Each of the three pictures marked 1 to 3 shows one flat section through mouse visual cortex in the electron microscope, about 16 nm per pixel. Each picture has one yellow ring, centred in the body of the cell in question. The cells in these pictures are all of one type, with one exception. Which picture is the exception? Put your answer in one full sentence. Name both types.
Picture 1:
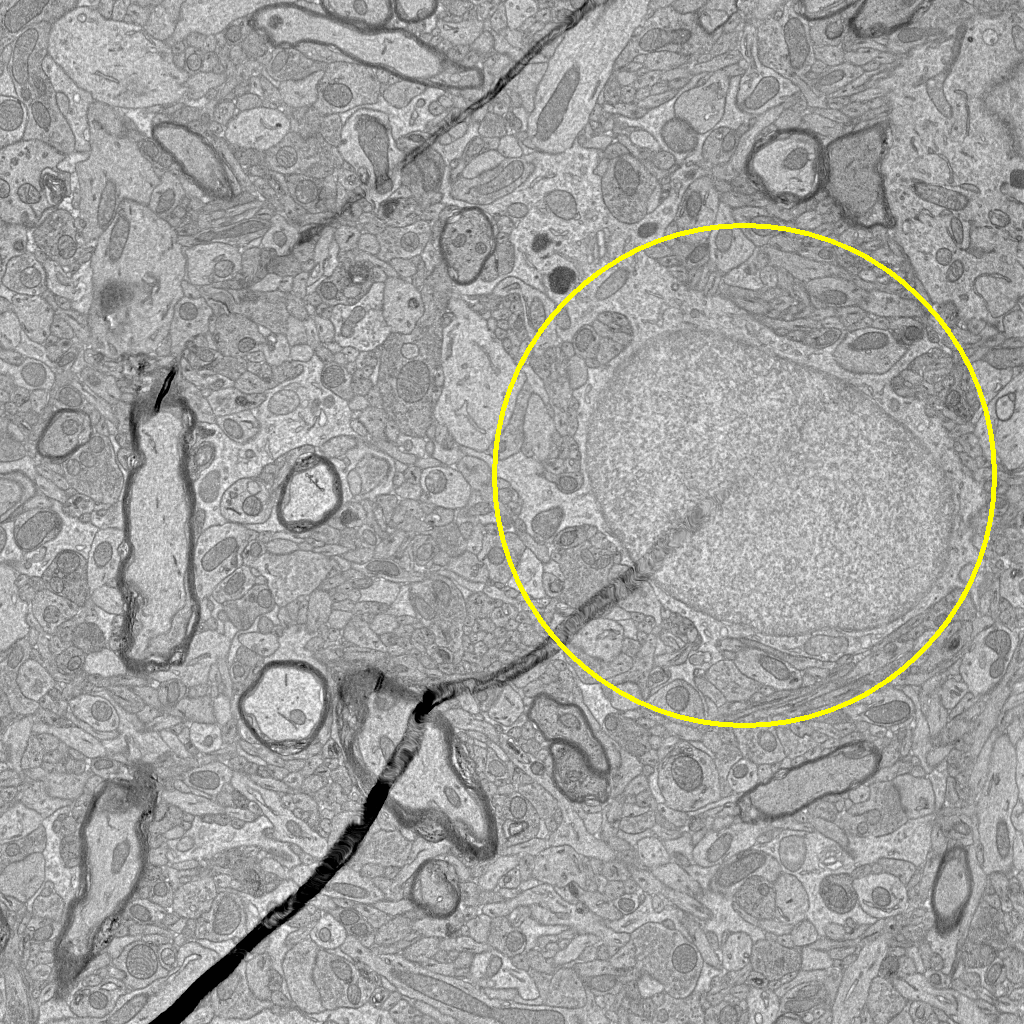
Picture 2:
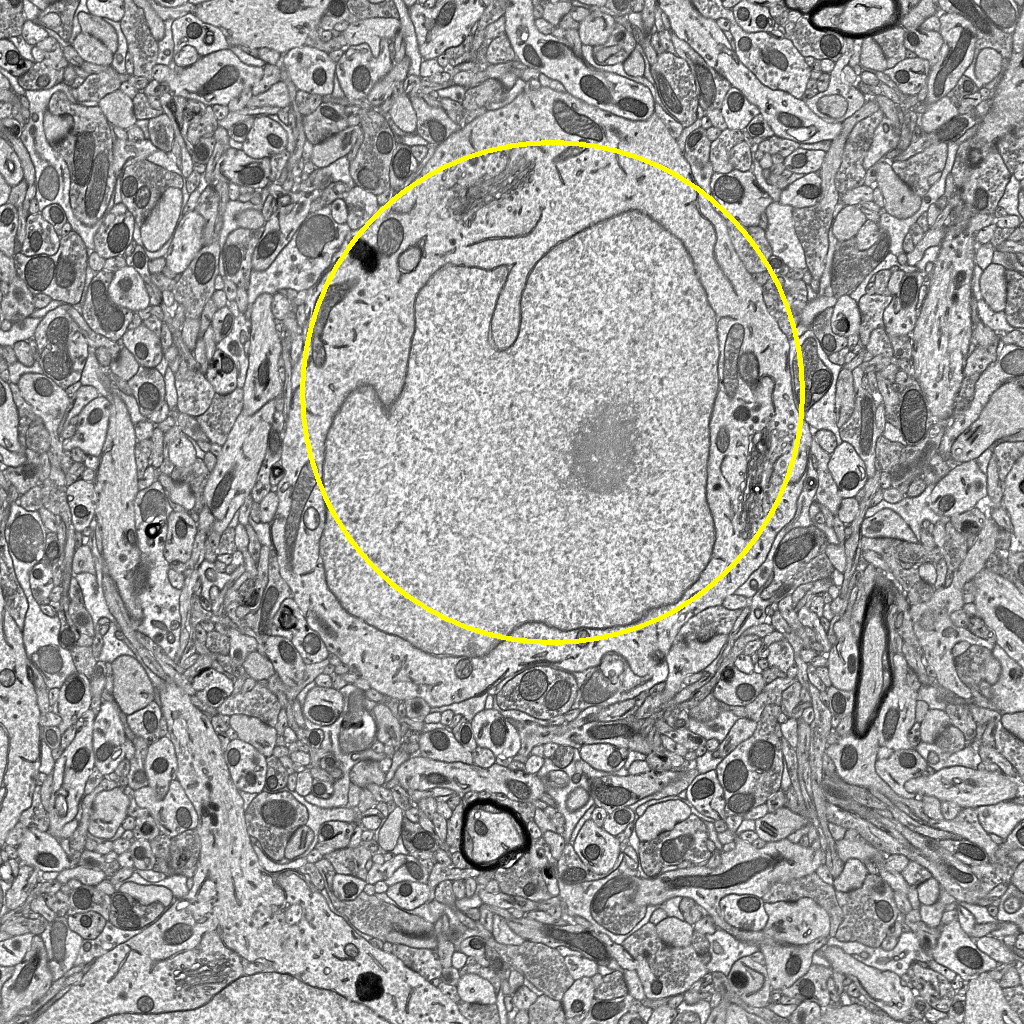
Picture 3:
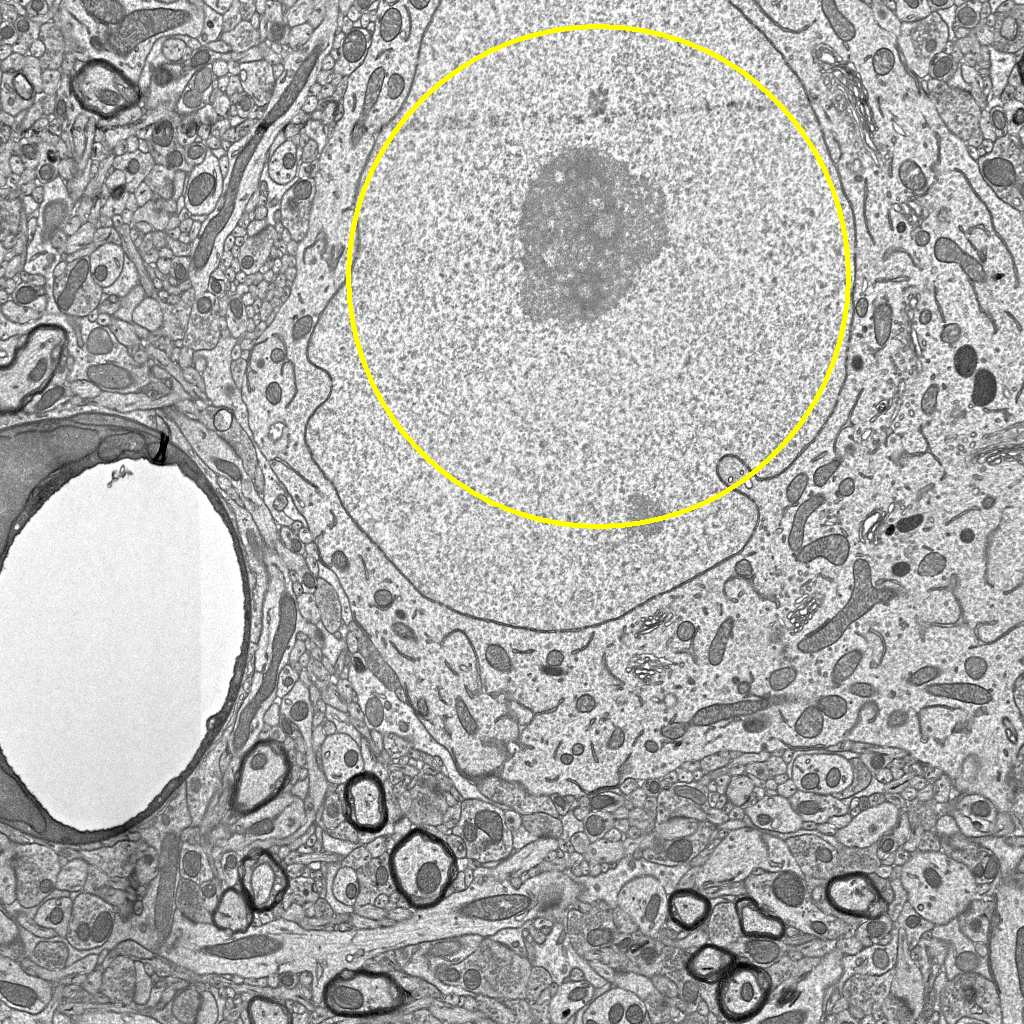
Picture 1 is the odd one out: it shows an astrocyte, while the others show excitatory neurons.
